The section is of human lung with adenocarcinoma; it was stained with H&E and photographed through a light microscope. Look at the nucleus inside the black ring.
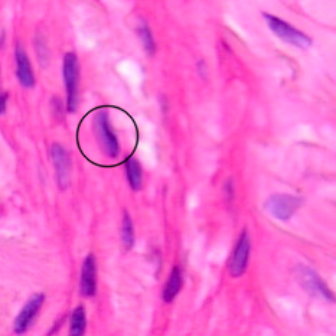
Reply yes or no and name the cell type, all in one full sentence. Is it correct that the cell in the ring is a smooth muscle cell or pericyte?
Yes, it is accurate to say that the cell in the ring is a smooth muscle cell or pericyte.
